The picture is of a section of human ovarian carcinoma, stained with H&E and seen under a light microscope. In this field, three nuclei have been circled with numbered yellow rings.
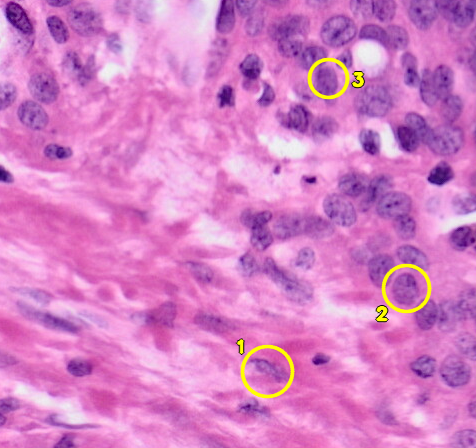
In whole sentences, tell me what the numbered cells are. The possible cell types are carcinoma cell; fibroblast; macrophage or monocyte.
Cell 1 is a fibroblast, cell 2 is a carcinoma cell and cell 3 is a carcinoma cell.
